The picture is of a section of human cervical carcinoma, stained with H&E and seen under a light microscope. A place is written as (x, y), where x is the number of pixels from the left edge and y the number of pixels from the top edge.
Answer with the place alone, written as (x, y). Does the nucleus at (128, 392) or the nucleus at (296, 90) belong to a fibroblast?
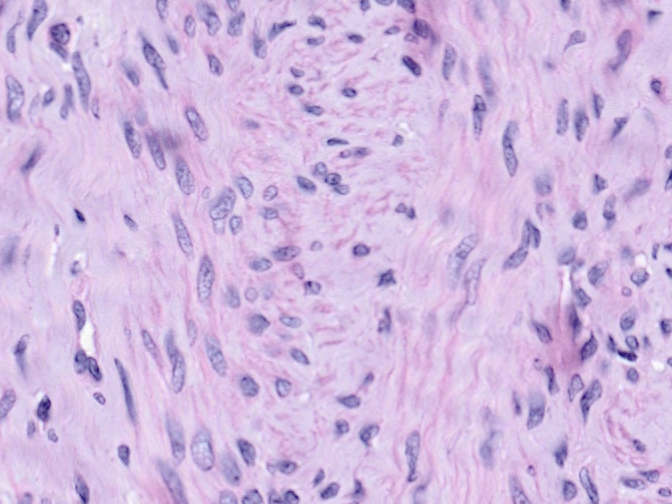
(128, 392)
